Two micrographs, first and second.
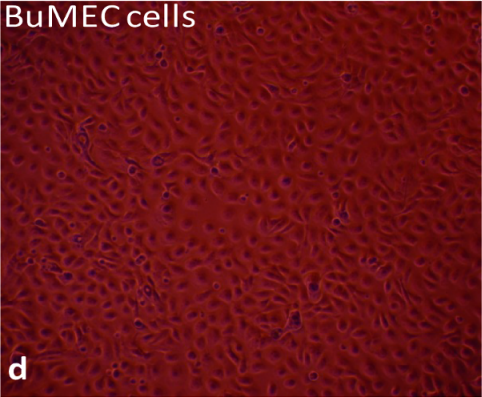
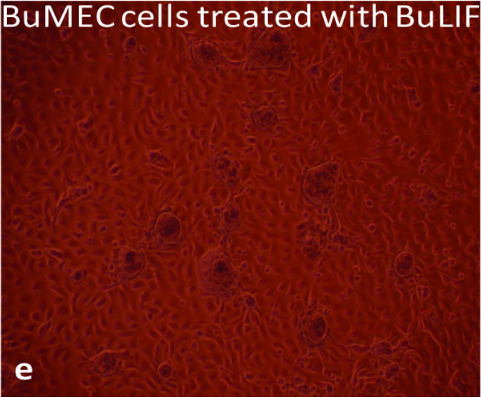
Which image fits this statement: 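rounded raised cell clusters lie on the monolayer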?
the second image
